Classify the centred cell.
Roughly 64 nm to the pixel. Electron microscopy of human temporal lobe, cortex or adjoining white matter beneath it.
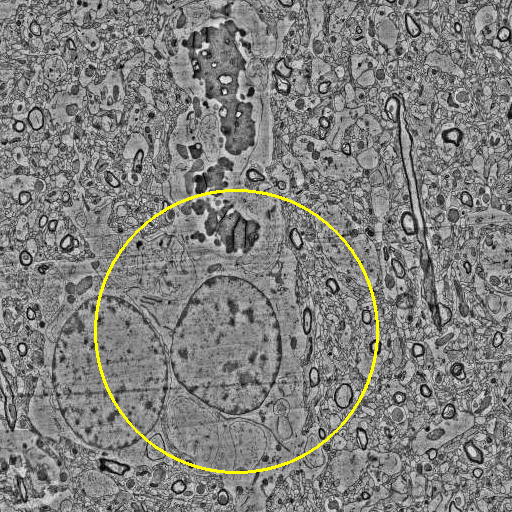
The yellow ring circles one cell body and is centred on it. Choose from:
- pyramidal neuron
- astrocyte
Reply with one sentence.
The ring is centred on an astrocyte.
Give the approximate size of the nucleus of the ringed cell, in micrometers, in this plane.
In this plane, the nucleus of the cell at the centre of the ring measures about 9 by 7 micrometres.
